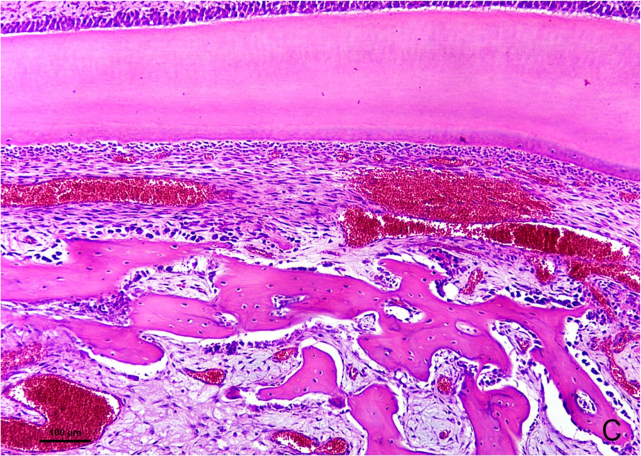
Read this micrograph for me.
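Periodontal ligament lying between a tooth and alveolar bone. Across the top runs a broad, homogeneous, pale pink band of hard tooth tissue, edged above by a row of closely set nuclei. Beneath it a band of fibrous tissue with slender spindle-shaped fibroblast nuclei runs parallel to the tooth surface. Within and below this band are elongated pools of densely packed red blood cells, a focal hemorrhage. In the lower half, interconnecting pink trabeculae of bone containing scattered lacunar nuclei are separated by loose fibrovascular tissue with further vessels full of blood.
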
